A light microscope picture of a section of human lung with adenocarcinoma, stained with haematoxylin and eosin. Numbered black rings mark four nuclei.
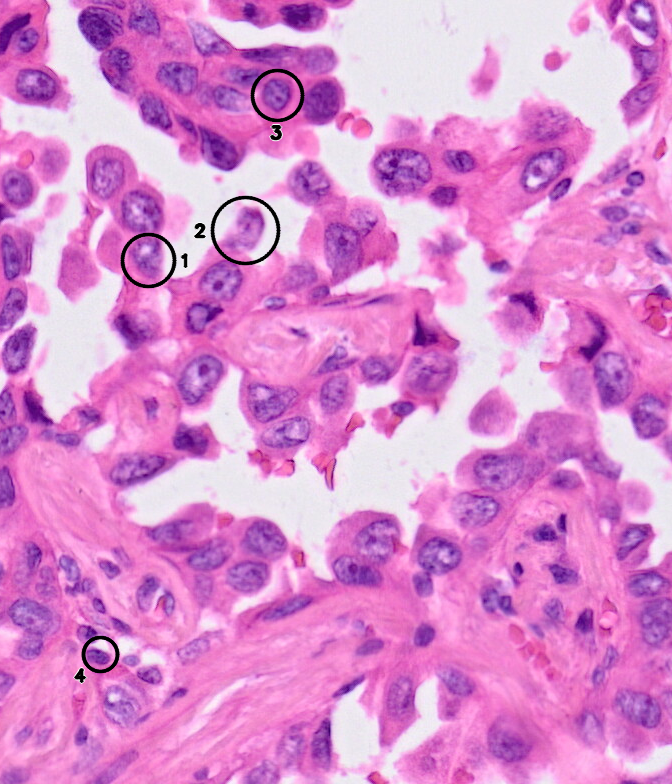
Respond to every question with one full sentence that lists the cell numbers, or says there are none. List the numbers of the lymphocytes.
Among the cells marked with numbers, the only one that is a lymphocyte is number 4.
